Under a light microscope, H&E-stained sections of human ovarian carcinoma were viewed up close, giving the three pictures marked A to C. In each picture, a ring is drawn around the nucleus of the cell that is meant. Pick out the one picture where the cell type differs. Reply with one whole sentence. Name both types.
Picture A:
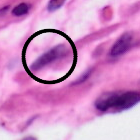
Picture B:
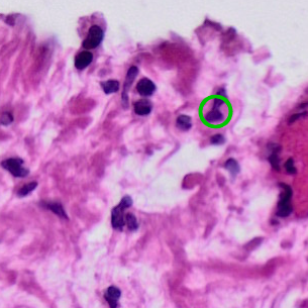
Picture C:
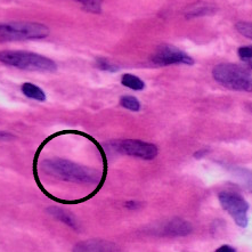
All pictures except B show fibroblasts; picture B shows a “macrophage or monocyte”.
